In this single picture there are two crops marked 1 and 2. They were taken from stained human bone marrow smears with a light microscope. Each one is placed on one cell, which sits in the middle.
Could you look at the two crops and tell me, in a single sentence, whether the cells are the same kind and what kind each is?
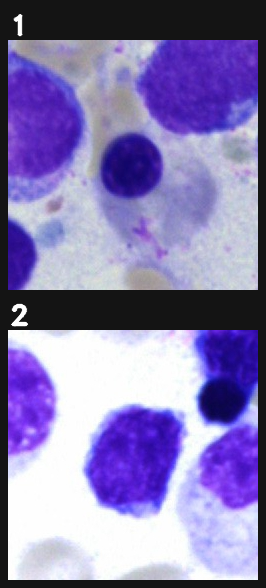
No, an erythroblast occupies the middle of crop 1, and a lymphocyte the middle of crop 2.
